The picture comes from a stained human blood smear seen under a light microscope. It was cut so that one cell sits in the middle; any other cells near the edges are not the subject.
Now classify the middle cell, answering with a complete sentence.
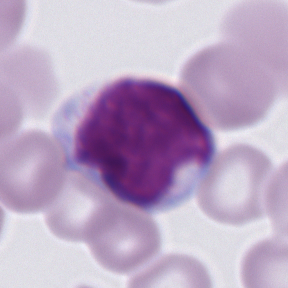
The central cell shown in this smear crop is a large granular lymphocyte.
